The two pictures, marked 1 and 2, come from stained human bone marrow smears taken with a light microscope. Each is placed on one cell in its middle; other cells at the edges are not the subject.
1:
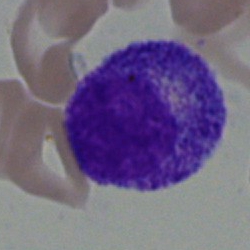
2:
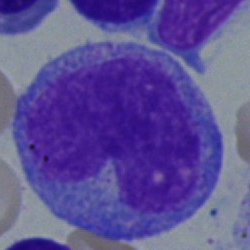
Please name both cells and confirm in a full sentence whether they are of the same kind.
No, crop 1 displays a myelocyte, and crop 2 displays a promyelocyte.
